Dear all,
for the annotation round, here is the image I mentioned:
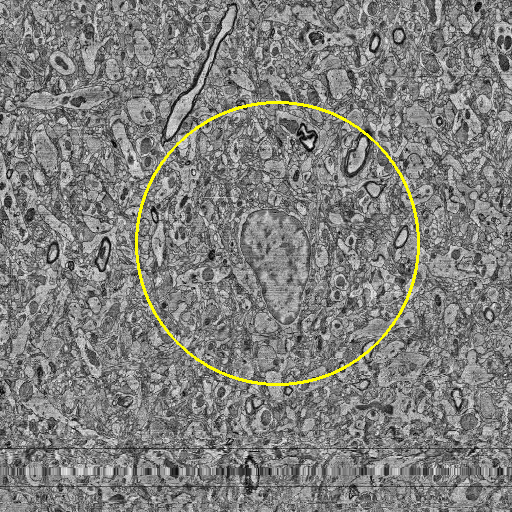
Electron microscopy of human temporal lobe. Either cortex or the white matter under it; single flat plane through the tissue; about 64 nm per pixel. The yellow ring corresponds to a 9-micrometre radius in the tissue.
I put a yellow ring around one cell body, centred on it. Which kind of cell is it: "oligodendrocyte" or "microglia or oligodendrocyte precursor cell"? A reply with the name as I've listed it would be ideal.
microglia or oligodendrocyte precursor cell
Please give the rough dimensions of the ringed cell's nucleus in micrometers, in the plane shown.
In this plane the nucleus is about 8 micrometres by 4.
